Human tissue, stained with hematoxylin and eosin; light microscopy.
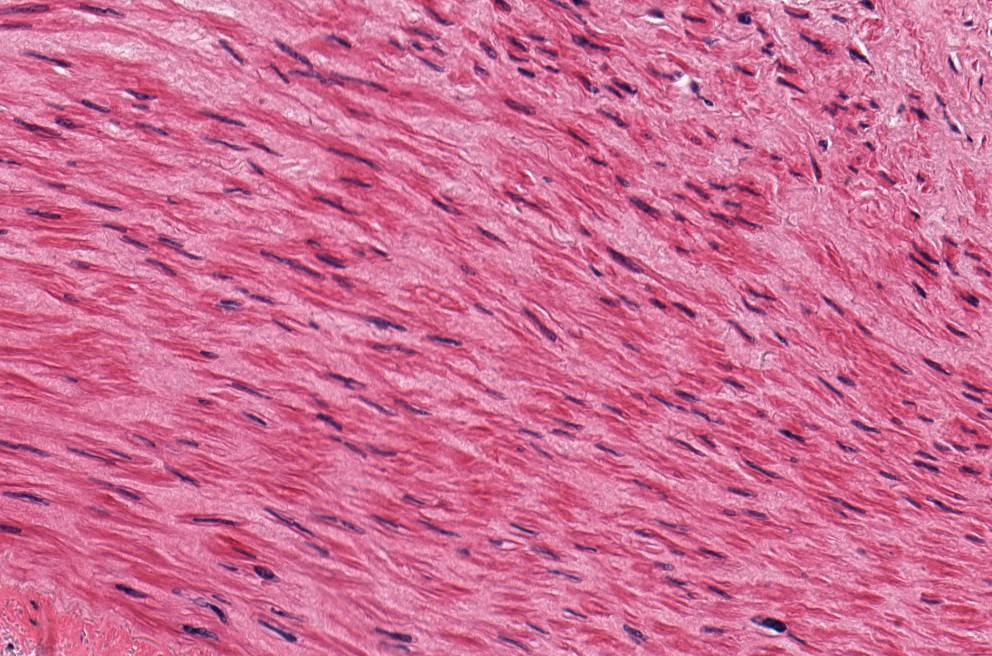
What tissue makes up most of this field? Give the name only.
tunica media of an artery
